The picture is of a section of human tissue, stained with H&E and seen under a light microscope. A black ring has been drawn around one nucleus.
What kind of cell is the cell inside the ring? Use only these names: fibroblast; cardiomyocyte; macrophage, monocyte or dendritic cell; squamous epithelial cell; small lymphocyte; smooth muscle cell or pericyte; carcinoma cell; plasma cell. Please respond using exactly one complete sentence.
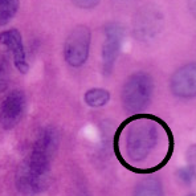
As for its identity, the cell inside the ring is a squamous epithelial cell.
